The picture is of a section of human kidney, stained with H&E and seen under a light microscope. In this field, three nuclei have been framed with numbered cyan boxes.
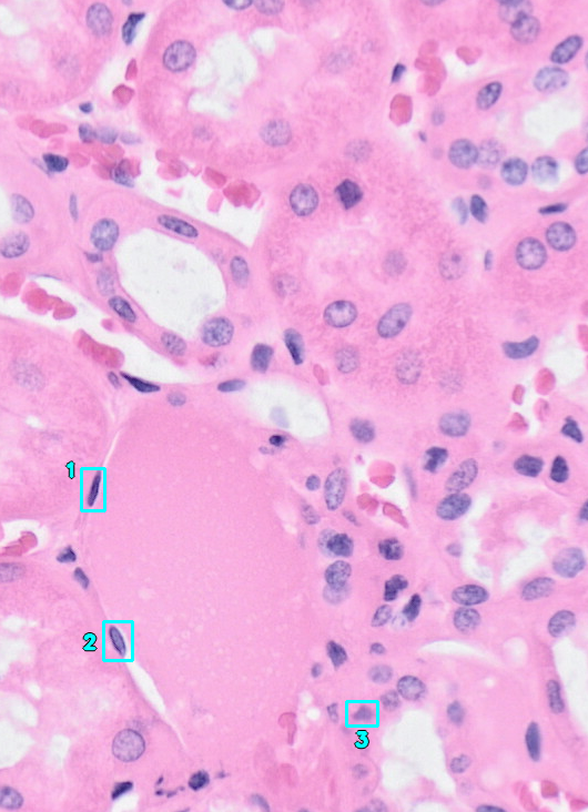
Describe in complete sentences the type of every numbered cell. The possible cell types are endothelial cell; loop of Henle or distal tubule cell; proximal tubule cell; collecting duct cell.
Cell 1 is an endothelial cell, cell 2 is an endothelial cell and cell 3 is a collecting duct cell.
